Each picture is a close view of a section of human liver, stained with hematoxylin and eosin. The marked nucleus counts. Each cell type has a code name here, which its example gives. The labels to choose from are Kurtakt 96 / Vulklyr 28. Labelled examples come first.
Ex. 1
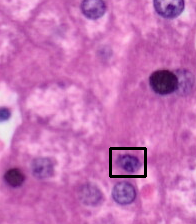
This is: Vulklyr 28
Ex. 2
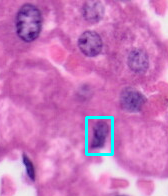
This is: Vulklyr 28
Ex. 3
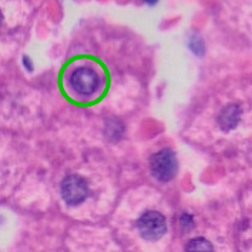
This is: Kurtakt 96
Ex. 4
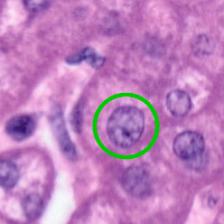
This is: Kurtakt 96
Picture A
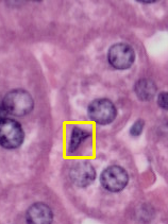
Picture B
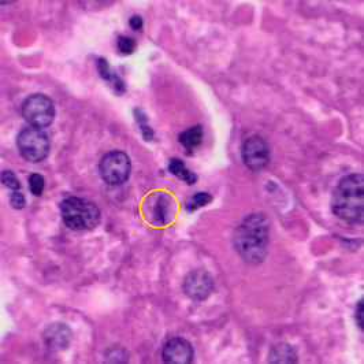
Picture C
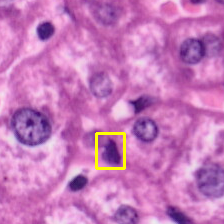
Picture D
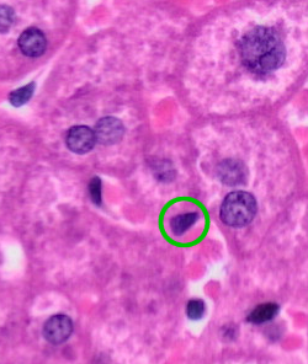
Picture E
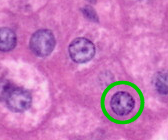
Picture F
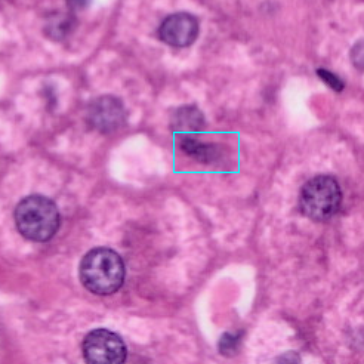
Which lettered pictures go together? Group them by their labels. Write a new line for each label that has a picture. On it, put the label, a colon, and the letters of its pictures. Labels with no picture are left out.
Kurtakt 96: E
Vulklyr 28: A, B, C, D, F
